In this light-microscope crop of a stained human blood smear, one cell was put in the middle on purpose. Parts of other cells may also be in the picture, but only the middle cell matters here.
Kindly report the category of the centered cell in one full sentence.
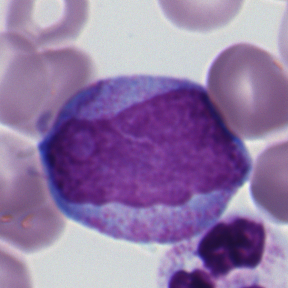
The cell found in the middle of this crop is a promyelocyte.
